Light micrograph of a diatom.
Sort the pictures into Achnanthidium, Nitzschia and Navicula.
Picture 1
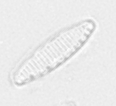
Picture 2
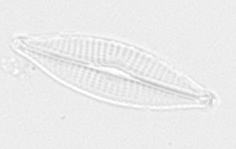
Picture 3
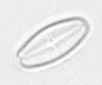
Nitzschia: 1
Navicula: 2
Achnanthidium: 3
